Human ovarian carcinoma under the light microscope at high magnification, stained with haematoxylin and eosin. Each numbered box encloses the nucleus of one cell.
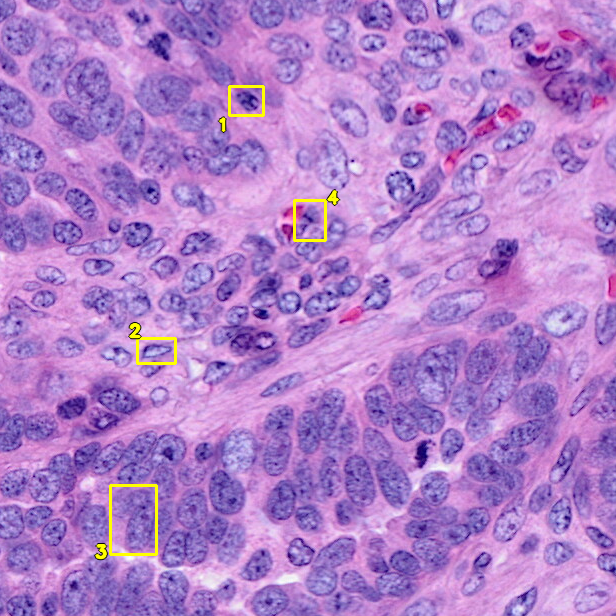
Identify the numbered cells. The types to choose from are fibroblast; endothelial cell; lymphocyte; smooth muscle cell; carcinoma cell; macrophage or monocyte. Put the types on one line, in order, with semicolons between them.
lymphocyte; fibroblast; carcinoma cell; endothelial cell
